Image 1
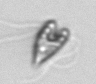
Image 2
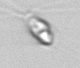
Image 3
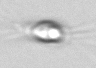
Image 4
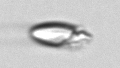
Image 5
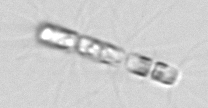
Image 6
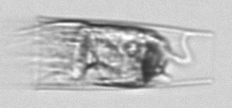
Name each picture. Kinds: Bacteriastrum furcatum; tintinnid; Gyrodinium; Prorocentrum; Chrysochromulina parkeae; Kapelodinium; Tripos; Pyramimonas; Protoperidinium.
1. Pyramimonas
2. Chrysochromulina parkeae
3. Chrysochromulina parkeae
4. Kapelodinium
5. Bacteriastrum furcatum
6. tintinnid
